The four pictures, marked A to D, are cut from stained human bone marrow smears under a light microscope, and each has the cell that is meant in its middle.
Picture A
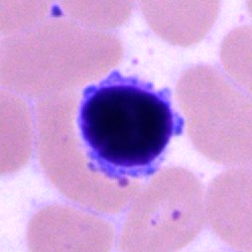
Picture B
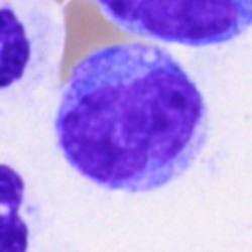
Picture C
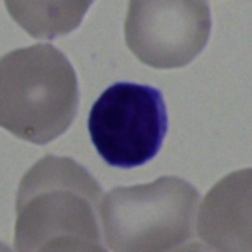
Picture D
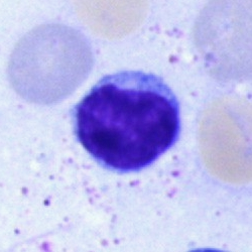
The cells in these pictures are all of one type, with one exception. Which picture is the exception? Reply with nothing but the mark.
B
